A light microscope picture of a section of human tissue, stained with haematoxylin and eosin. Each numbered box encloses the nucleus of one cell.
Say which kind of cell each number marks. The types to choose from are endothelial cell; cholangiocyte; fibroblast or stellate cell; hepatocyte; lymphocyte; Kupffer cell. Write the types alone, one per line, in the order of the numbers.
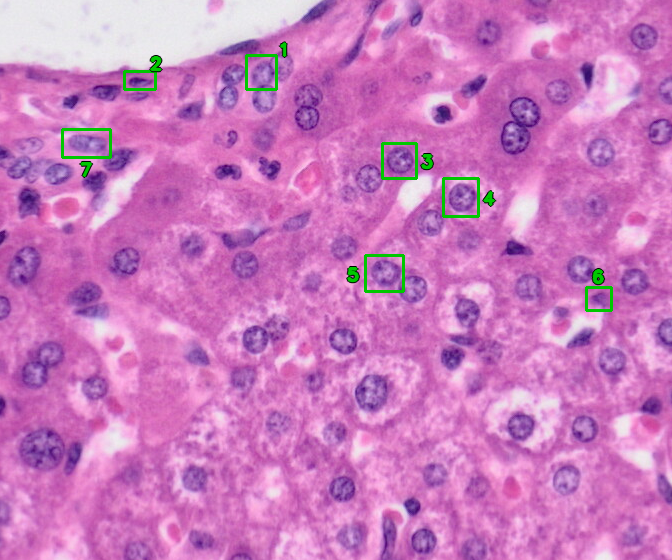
cholangiocyte
fibroblast or stellate cell
hepatocyte
hepatocyte
hepatocyte
fibroblast or stellate cell
cholangiocyte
